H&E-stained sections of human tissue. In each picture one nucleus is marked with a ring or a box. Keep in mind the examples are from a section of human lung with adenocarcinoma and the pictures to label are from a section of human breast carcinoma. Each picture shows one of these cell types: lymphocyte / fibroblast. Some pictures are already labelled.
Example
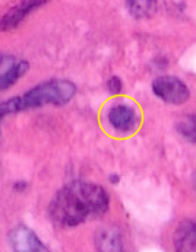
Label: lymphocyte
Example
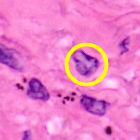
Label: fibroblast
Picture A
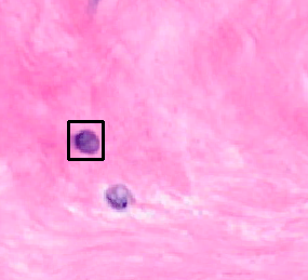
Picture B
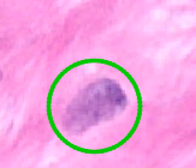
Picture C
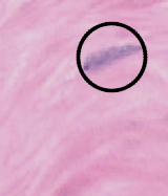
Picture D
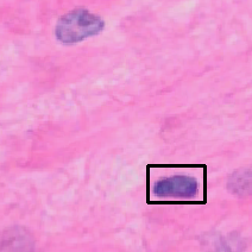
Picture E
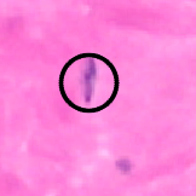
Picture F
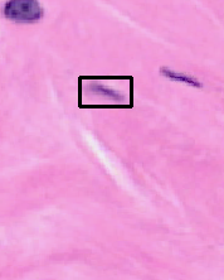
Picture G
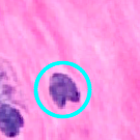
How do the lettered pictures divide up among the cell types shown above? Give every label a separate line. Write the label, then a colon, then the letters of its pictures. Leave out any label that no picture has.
lymphocyte: A, D, G
fibroblast: B, C, E, F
